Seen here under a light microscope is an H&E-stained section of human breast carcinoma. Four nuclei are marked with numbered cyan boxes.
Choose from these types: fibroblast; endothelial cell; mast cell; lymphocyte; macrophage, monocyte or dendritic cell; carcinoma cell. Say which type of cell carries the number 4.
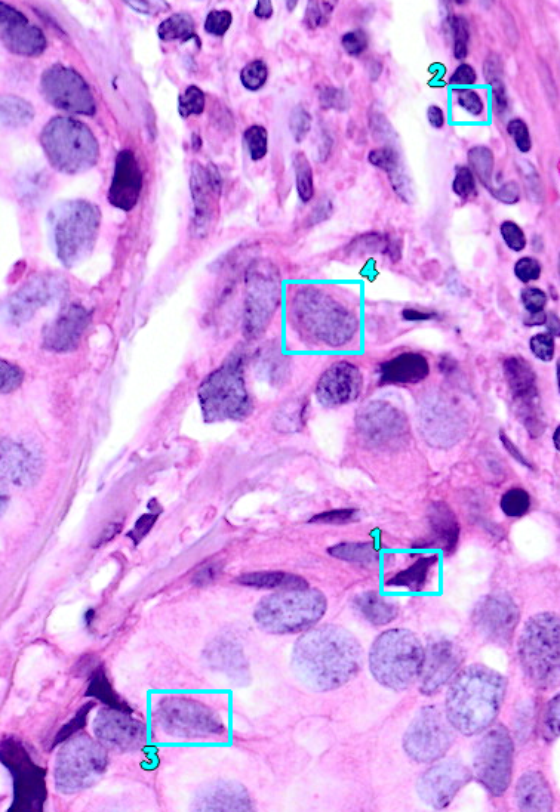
carcinoma cell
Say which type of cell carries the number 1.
carcinoma cell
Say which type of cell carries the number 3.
carcinoma cell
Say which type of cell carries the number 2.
lymphocyte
